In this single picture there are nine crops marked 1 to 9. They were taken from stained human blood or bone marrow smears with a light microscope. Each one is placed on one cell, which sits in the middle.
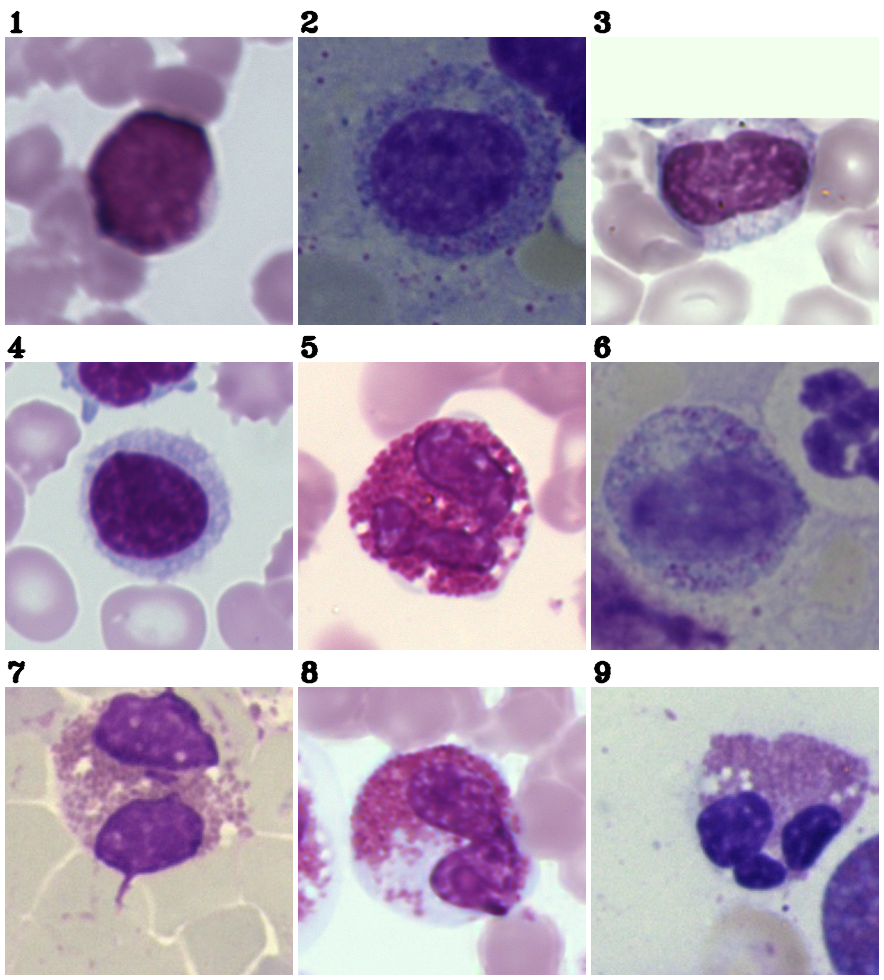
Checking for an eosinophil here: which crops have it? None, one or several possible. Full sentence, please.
In this set, crops 5, 7, 8 and 9 show eosinophils.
